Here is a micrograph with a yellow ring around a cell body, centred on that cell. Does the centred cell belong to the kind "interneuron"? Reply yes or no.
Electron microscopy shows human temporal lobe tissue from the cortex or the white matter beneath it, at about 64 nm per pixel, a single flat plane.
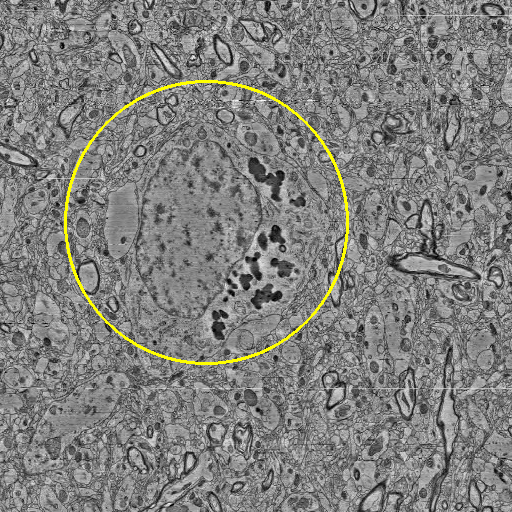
yes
